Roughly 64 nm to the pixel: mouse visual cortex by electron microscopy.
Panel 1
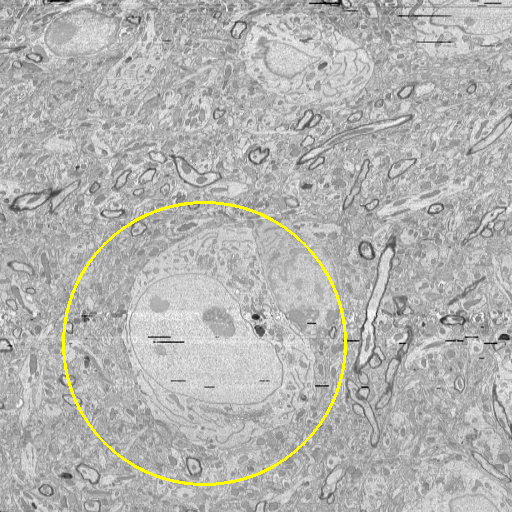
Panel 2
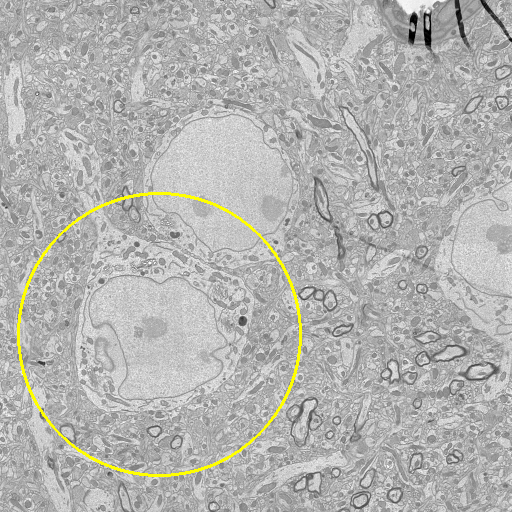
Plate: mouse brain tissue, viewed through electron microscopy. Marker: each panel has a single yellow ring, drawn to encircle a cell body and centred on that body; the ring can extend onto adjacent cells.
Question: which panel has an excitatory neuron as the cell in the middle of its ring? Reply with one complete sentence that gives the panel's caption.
Panel 1 is where the requested cell sits at the centre of the ring.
